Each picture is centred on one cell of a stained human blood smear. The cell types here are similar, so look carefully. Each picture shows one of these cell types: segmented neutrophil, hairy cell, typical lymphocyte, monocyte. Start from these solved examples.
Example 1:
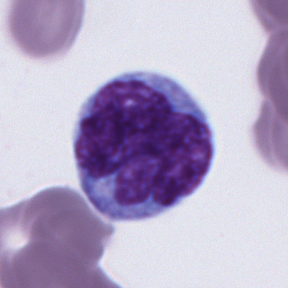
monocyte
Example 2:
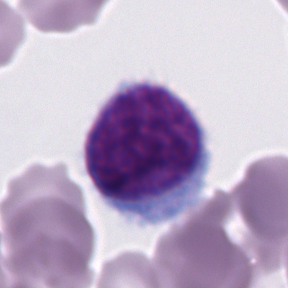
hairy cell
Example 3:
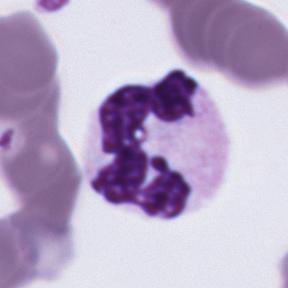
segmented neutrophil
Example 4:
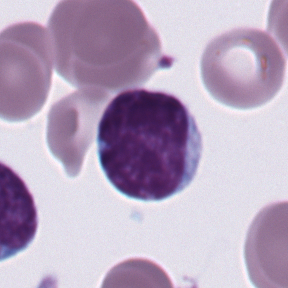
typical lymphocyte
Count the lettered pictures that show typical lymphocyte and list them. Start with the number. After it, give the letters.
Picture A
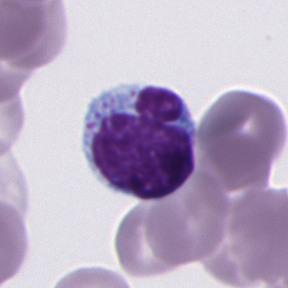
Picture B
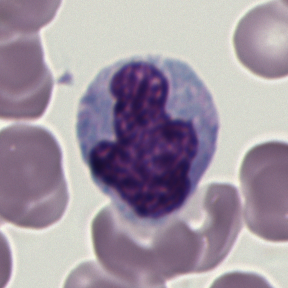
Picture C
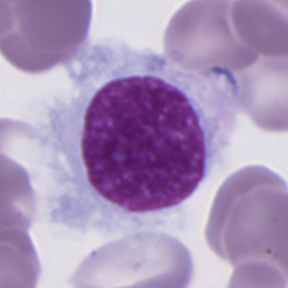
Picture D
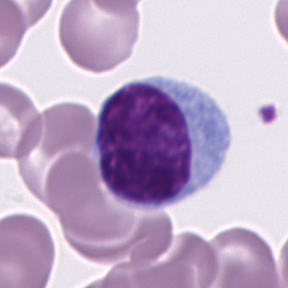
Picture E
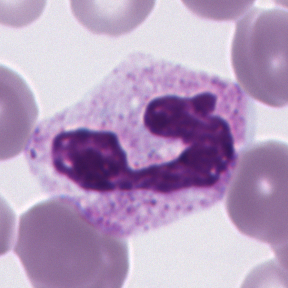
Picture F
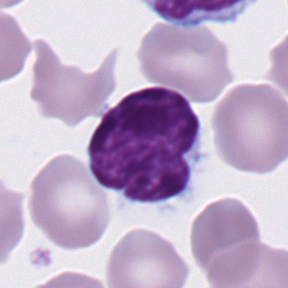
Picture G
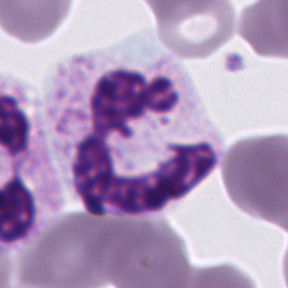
3: A, D, F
